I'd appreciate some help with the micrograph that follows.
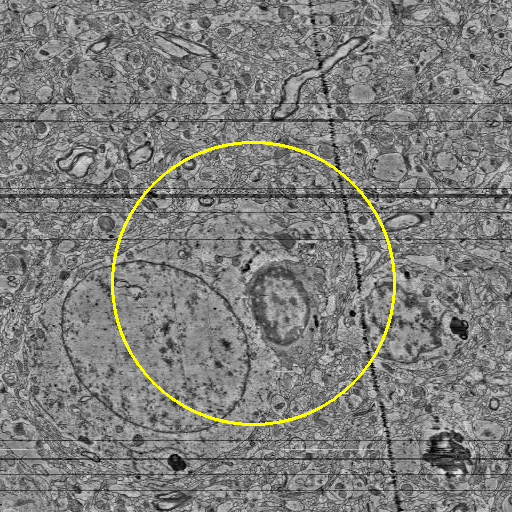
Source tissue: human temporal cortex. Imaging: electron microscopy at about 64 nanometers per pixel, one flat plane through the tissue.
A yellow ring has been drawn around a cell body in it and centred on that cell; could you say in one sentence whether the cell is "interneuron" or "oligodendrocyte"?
It is an oligodendrocyte at the centre of the ring.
